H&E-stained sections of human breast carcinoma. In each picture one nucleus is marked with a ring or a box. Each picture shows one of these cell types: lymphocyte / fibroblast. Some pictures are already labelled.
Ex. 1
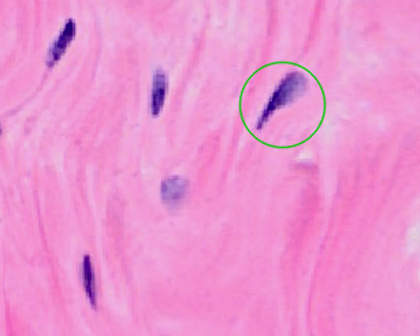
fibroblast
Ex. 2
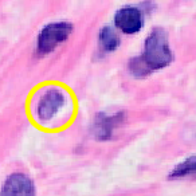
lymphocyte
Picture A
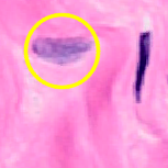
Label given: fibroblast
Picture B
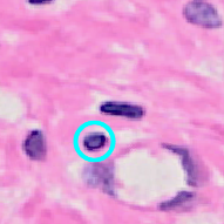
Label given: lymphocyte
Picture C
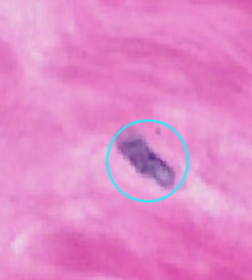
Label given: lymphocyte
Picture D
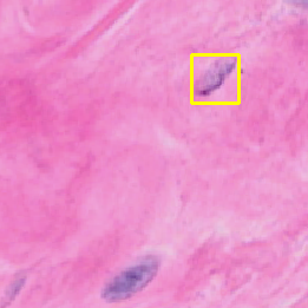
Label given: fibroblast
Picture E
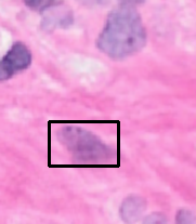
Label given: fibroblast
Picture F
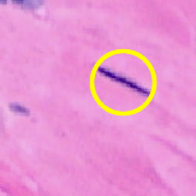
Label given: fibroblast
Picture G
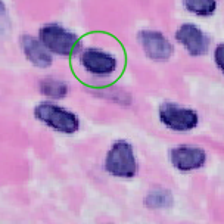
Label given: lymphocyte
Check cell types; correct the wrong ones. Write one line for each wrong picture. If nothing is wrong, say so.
C: change lymphocyte to fibroblast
